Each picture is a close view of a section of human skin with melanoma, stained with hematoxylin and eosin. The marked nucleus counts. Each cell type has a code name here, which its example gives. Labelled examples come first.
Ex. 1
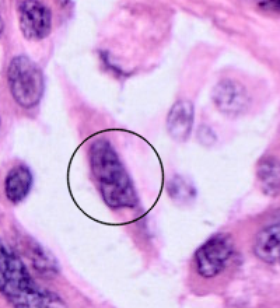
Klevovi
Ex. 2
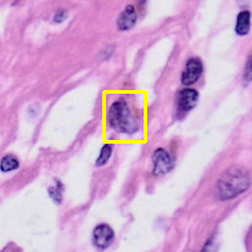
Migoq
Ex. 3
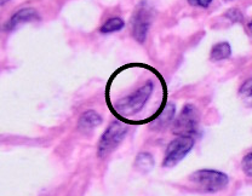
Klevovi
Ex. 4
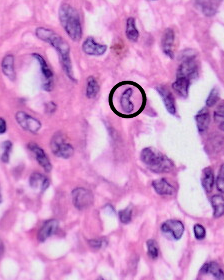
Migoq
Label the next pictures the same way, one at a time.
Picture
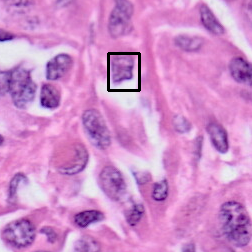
Klevovi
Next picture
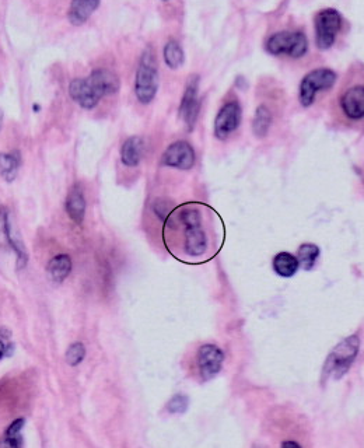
Migoq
